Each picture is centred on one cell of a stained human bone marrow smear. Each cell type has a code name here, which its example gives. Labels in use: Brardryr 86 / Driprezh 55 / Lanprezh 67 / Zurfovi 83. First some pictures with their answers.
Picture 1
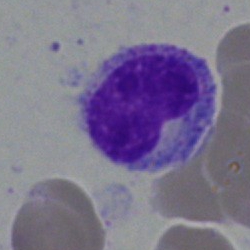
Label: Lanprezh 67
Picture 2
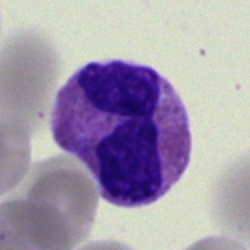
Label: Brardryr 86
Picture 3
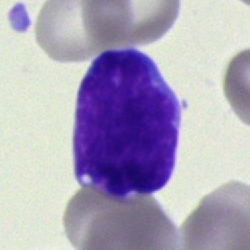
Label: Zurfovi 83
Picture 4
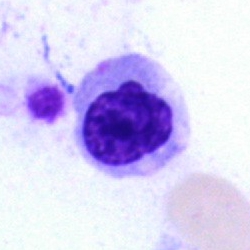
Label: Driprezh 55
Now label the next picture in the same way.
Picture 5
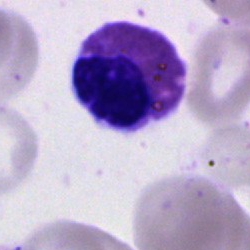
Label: Brardryr 86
